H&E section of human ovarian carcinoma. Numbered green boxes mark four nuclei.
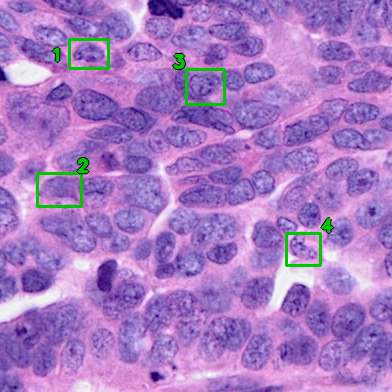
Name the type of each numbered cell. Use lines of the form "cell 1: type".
cell 1: macrophage or monocyte
cell 2: carcinoma cell
cell 3: carcinoma cell
cell 4: macrophage or monocyte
